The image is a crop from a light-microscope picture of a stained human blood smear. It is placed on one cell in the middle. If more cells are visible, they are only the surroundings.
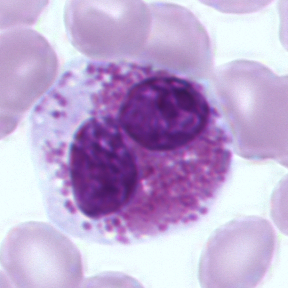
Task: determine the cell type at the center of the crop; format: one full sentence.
For this crop, the central cell is an eosinophil.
